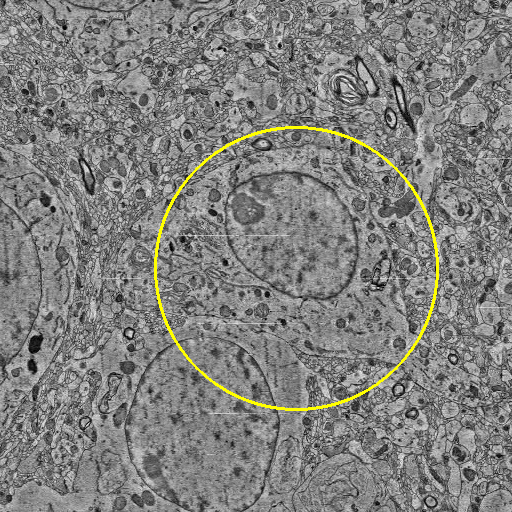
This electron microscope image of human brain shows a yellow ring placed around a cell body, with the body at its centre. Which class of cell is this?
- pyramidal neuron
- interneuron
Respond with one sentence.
The cell body at the ring's centre is a pyramidal neuron.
